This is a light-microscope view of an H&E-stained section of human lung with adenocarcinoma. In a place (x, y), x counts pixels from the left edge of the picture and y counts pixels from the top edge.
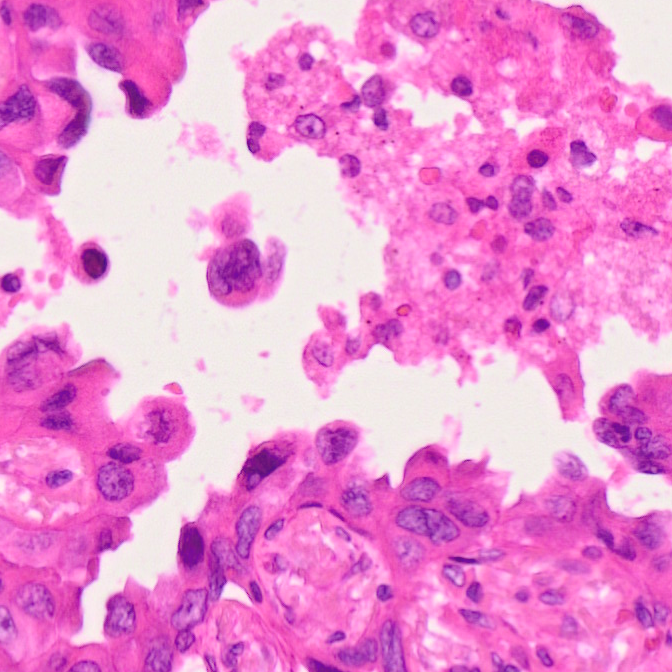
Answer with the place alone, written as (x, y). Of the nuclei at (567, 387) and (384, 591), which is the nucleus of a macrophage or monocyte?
(567, 387)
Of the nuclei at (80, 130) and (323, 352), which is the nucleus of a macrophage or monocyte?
(323, 352)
